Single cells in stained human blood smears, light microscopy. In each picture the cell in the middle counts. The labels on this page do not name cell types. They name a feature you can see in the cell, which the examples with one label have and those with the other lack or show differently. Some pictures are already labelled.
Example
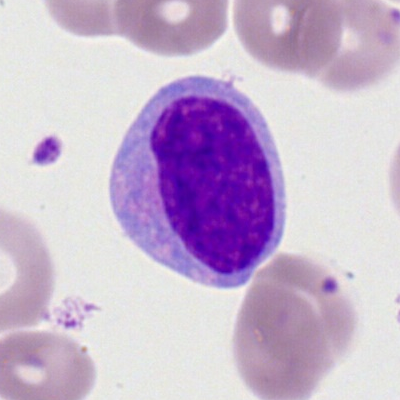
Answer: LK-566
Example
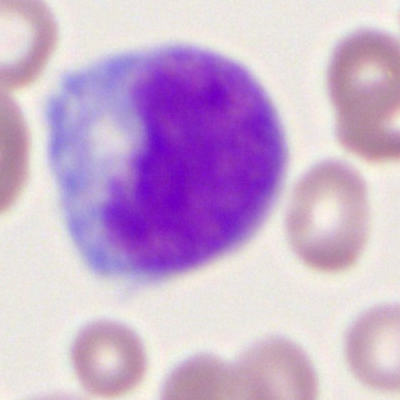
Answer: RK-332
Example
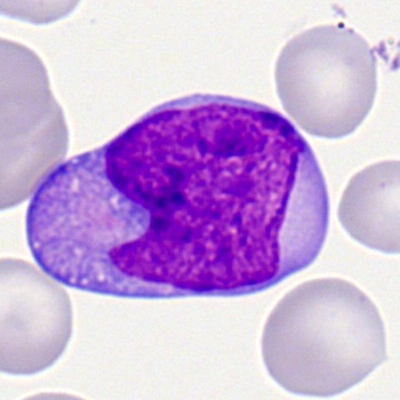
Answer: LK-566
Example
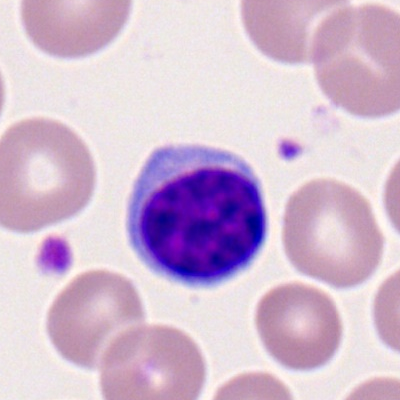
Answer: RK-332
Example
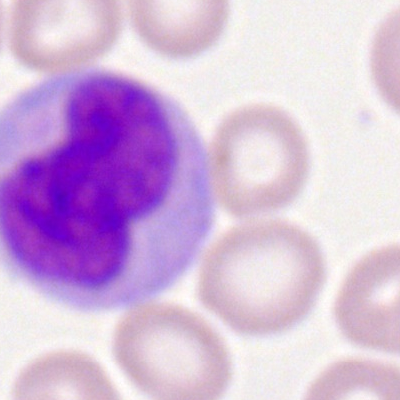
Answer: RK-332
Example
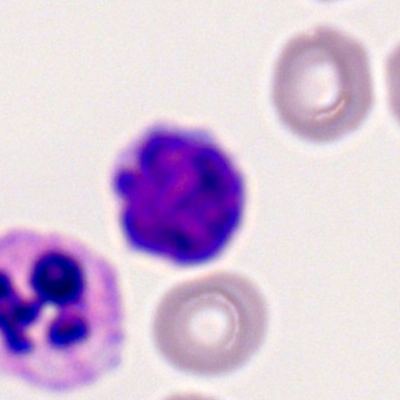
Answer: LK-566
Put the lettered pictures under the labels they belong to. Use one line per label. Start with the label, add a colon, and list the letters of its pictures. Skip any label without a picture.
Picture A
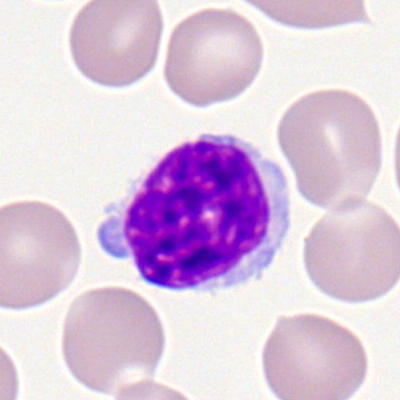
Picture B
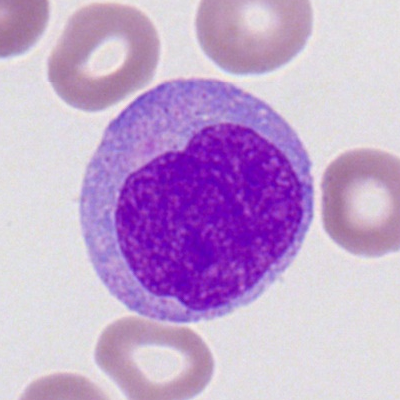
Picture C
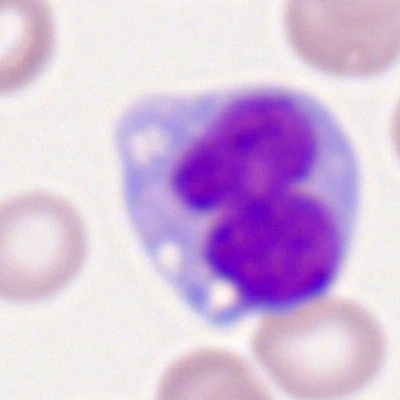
LK-566: B
RK-332: A, C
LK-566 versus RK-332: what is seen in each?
Seen in LK-566: many visible granules; seen in RK-332: no visible granules.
